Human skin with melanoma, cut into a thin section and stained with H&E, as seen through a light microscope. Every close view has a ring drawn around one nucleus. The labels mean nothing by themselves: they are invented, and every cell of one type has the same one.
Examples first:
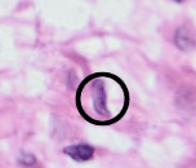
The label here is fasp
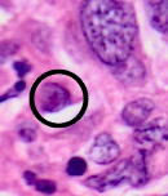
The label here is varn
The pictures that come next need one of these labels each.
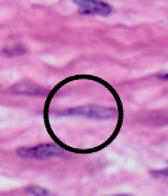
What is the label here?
fasp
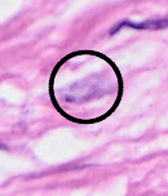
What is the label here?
fasp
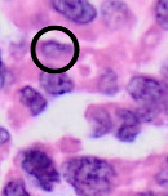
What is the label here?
varn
